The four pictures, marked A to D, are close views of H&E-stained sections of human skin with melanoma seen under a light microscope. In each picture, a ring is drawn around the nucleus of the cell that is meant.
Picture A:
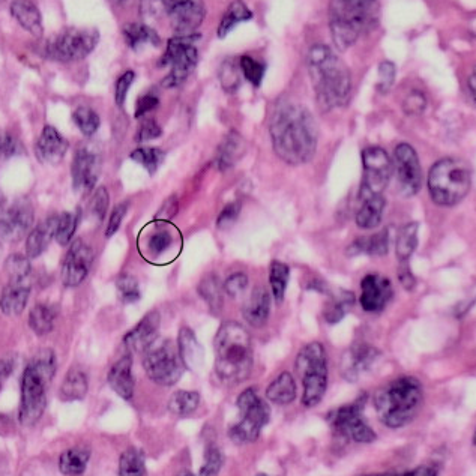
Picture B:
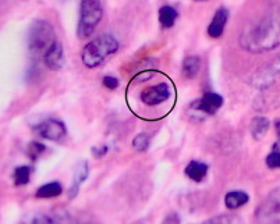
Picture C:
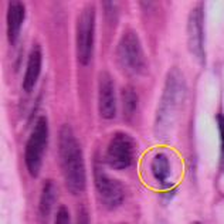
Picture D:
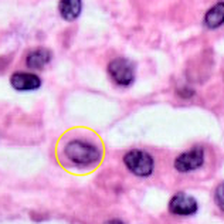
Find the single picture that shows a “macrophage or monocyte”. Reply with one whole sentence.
The “macrophage or monocyte” is the one in picture D.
